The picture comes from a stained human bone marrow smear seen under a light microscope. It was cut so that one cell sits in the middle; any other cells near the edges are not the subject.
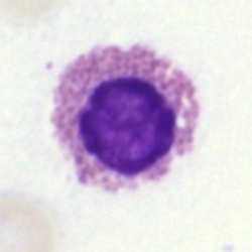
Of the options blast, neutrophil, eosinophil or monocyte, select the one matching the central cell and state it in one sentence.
Framed in the middle of the crop is an eosinophil.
